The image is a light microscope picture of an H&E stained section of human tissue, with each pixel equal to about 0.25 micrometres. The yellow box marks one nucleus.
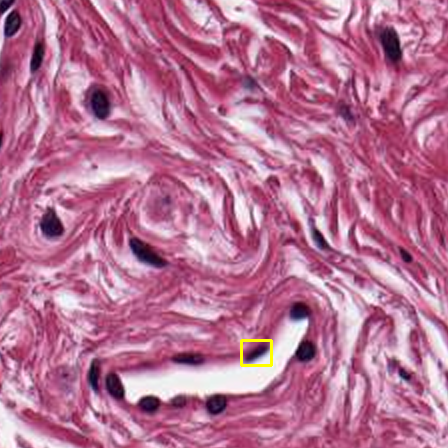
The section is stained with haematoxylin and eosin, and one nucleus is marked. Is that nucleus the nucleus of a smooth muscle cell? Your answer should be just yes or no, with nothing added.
no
